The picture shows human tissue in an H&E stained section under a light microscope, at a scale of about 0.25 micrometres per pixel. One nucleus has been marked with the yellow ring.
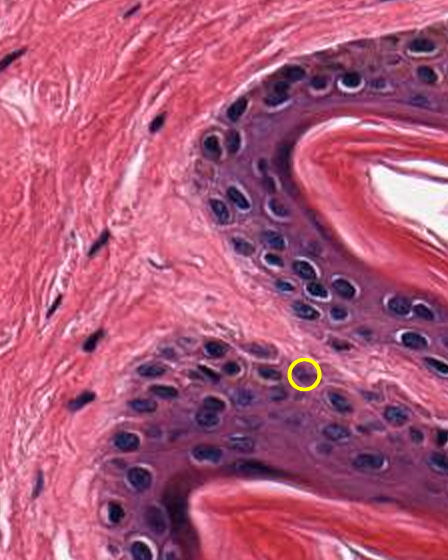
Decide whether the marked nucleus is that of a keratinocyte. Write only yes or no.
yes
